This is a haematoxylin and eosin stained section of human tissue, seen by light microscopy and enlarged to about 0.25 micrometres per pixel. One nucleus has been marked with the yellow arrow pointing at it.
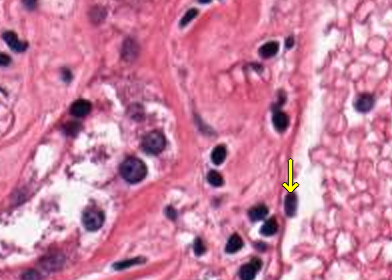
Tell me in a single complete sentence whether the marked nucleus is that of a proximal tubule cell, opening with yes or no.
No, the marked nucleus does not come from a proximal tubule cell but from a supporting cell.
